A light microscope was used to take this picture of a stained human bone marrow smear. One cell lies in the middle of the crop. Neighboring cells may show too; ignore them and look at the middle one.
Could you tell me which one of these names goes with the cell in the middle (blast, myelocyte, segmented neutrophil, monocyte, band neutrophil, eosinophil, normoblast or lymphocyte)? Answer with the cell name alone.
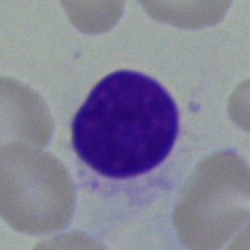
lymphocyte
